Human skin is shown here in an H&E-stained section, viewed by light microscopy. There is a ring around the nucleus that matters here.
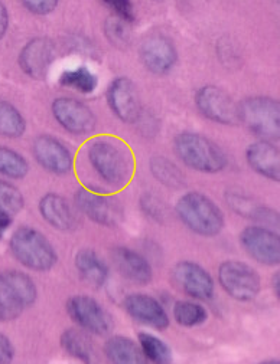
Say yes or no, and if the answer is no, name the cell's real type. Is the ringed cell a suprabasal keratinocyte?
Yes.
